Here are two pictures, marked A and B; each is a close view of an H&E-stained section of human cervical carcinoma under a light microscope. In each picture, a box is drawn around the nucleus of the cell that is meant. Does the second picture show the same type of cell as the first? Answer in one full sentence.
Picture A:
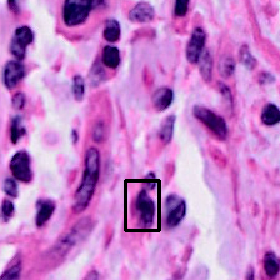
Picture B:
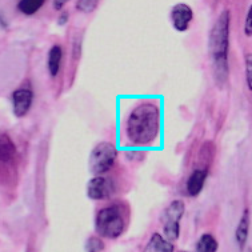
No. Picture A shows a lymphocyte, but picture B shows a “macrophage or monocyte”.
